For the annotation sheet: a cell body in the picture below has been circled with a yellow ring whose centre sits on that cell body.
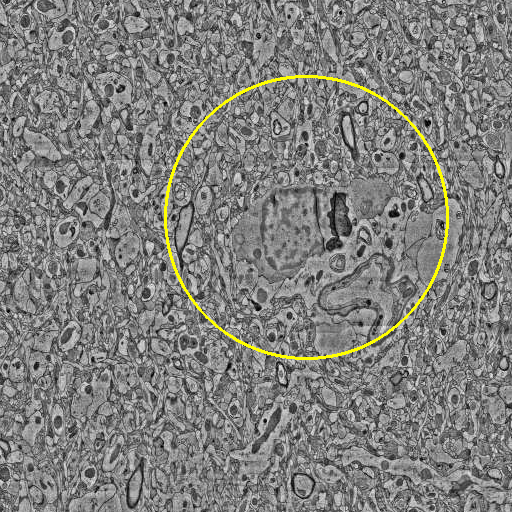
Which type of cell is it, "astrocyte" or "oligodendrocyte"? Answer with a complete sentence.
The circled cell is an oligodendrocyte.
